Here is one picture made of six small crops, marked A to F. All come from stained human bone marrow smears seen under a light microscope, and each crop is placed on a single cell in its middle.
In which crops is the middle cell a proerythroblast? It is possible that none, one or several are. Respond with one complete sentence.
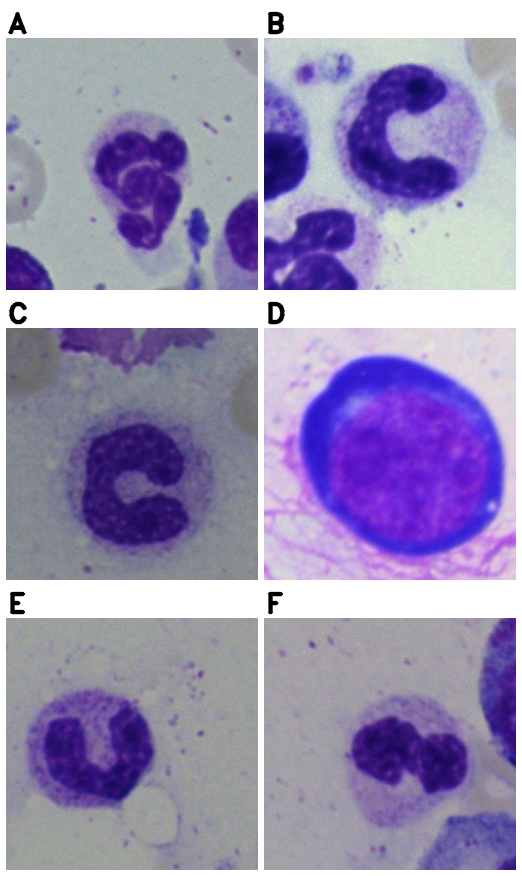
The set contains a single crop with a proerythroblast, and it is crop D.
